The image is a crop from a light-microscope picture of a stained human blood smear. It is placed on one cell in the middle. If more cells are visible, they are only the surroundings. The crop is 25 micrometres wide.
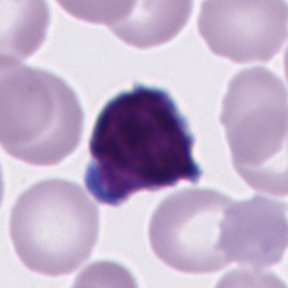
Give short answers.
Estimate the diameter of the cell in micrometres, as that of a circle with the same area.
10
